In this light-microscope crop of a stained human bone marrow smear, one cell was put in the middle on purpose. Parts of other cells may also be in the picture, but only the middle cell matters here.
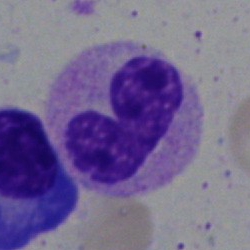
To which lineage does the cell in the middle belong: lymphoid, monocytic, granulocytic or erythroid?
granulocytic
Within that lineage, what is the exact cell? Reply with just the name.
band neutrophil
